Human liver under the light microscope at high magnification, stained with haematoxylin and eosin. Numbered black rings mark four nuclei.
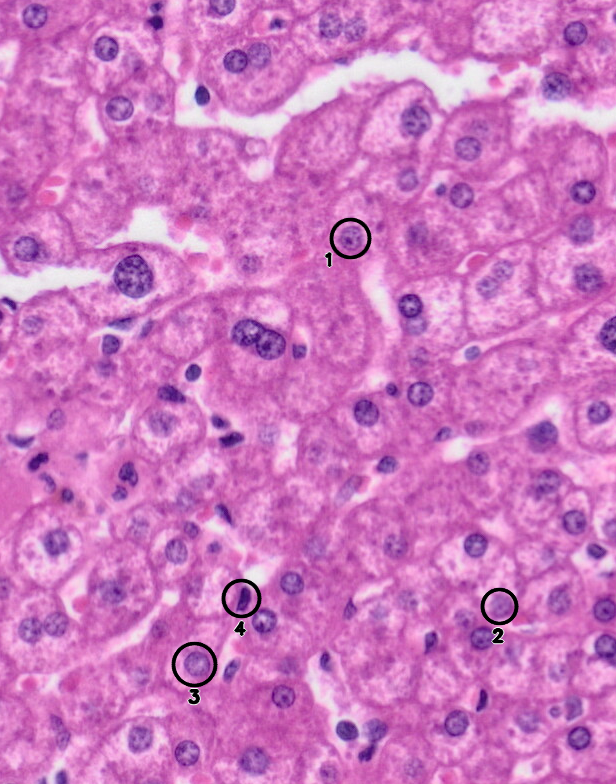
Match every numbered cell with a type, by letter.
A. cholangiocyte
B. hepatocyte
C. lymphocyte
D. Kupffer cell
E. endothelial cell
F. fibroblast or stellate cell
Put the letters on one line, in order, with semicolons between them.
B; B; B; F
